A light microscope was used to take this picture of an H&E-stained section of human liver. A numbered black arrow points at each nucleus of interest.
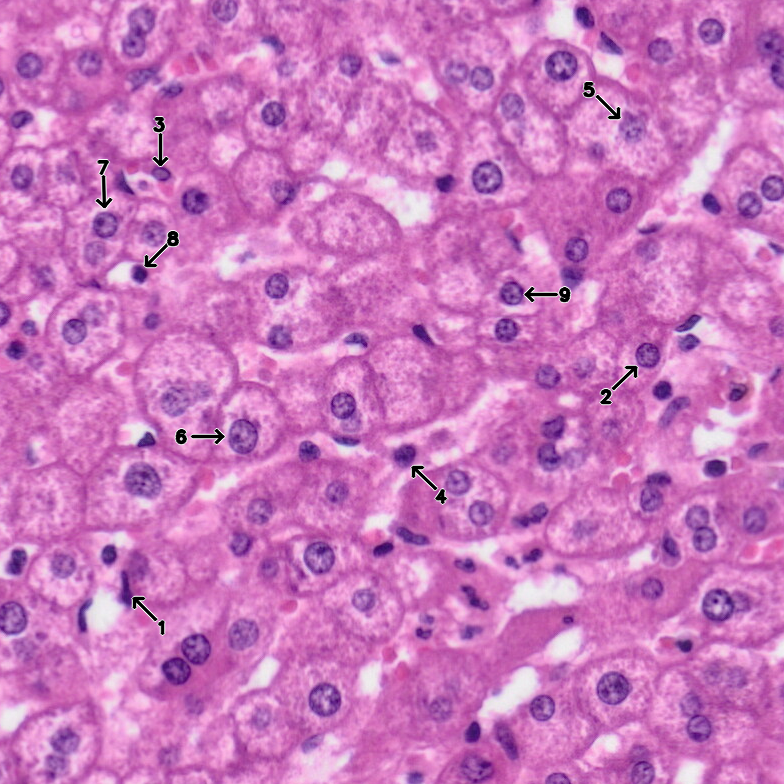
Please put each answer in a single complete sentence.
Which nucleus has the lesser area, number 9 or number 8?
The smaller nucleus is 8, and 9 covers roughly 2 times its area.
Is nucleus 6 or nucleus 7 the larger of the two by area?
Number 6 is larger; its area is about 1.5 times that of number 7.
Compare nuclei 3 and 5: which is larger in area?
The larger nucleus is 5, at roughly 2.5 times the area of 3.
